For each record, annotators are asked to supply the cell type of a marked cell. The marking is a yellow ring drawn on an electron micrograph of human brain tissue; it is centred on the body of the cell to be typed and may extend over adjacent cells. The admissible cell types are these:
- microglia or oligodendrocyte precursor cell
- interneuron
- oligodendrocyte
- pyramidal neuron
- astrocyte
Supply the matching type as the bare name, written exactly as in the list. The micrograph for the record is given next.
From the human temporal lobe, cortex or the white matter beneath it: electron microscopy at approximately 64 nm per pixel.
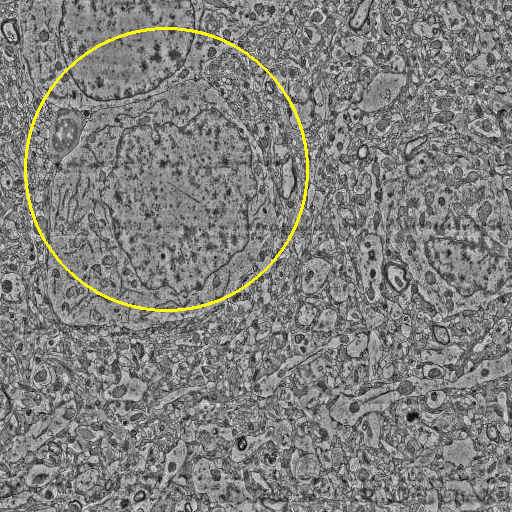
interneuron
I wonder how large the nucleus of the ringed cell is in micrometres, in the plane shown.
The ringed cell's nucleus is about 12 micrometres long and 9 micrometres wide in this plane.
